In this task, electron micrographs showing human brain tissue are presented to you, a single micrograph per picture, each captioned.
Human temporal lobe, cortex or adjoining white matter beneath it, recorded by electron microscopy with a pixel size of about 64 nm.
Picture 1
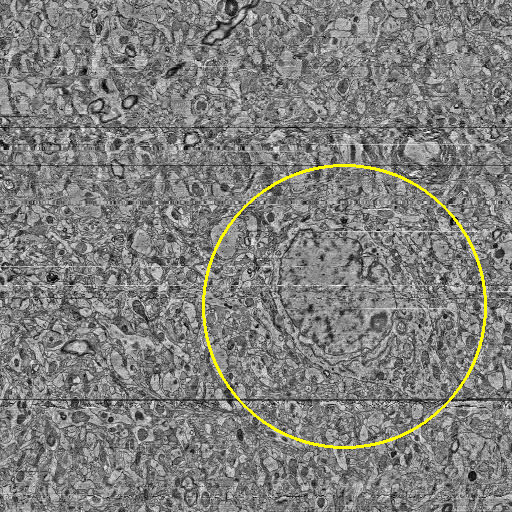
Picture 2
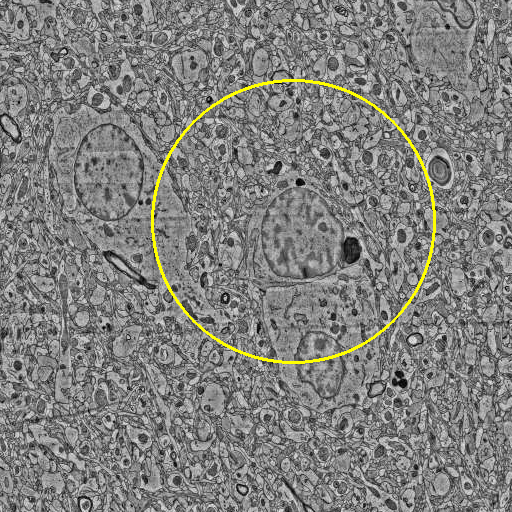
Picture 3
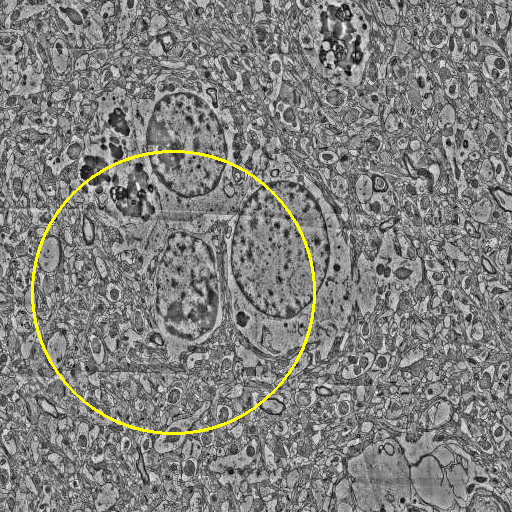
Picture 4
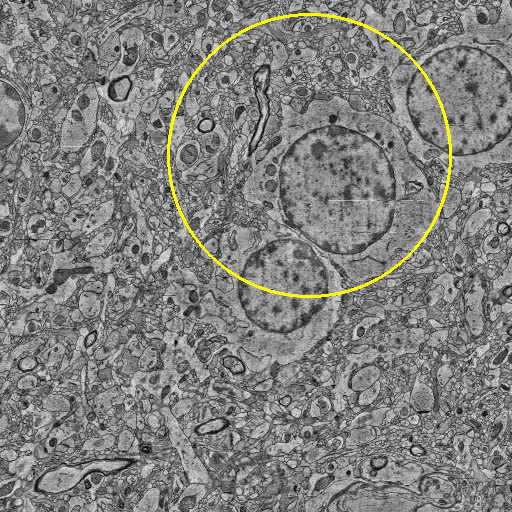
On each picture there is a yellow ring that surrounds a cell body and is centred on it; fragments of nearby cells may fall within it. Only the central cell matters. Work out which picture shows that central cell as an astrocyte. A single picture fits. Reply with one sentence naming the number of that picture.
Of all the pictures, number 4 has the right cell in the centre of its ring.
